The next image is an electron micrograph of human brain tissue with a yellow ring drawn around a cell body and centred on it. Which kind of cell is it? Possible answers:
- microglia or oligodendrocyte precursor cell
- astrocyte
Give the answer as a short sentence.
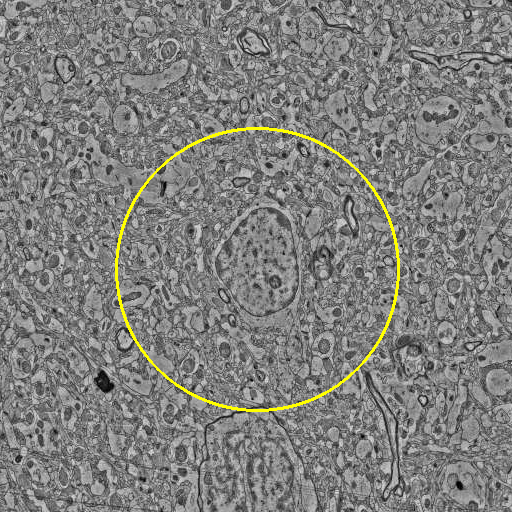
In the ring's centre is a microglial cell or oligodendrocyte precursor cell.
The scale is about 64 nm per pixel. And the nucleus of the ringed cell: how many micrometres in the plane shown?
In this plane, the nucleus of the cell at the centre of the ring measures about 7 by 5 micrometres.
